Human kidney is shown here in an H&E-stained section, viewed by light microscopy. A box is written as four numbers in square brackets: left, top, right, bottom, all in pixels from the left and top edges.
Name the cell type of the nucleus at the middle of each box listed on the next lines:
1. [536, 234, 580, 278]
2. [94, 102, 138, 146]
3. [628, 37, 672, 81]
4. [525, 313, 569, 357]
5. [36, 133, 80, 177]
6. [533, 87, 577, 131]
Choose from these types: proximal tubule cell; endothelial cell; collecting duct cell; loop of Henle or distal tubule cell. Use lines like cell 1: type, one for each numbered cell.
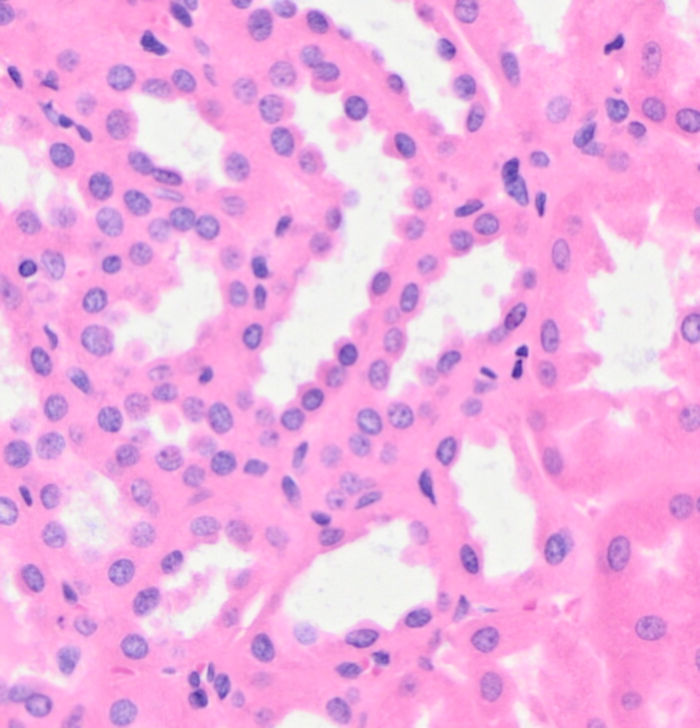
cell 1: proximal tubule cell
cell 2: loop of Henle or distal tubule cell
cell 3: proximal tubule cell
cell 4: proximal tubule cell
cell 5: loop of Henle or distal tubule cell
cell 6: proximal tubule cell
